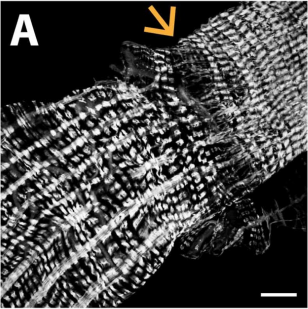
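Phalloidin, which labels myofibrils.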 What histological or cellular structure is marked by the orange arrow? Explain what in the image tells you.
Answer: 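The arrow points to a narrow band where the muscle pattern of the left part meets that of the right part. The fibres at the arrow are loosely and irregularly arranged. On this evidence: transition zone.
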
